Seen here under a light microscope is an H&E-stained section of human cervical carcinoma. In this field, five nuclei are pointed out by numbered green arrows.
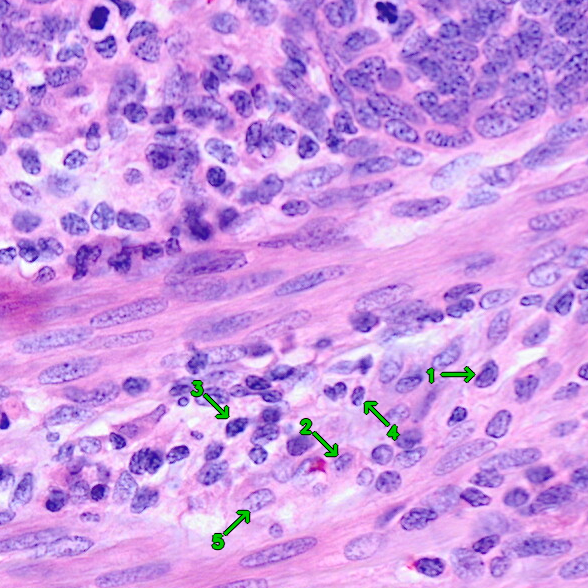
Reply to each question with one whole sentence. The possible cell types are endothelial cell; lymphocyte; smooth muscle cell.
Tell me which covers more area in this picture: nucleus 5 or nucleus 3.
At about 1.5 times the area of nucleus 3, nucleus 5 is the larger of the two.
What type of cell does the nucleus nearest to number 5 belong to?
The cell nearest to number 5 is an endothelial cell.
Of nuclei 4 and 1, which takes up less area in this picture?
It is nucleus 4; nucleus 1 has about 2.5 times its area.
